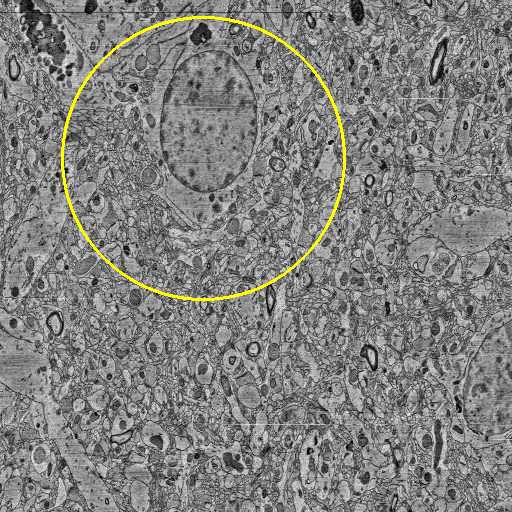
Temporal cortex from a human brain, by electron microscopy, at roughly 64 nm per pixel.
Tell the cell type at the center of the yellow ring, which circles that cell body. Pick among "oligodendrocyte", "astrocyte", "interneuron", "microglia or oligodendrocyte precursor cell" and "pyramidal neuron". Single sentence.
The ring is centered on the body of an astrocyte.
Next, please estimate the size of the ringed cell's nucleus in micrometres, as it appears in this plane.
The ringed cell's nucleus is roughly 9 by 6 micrometres and clearly longer than it is wide in this plane.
